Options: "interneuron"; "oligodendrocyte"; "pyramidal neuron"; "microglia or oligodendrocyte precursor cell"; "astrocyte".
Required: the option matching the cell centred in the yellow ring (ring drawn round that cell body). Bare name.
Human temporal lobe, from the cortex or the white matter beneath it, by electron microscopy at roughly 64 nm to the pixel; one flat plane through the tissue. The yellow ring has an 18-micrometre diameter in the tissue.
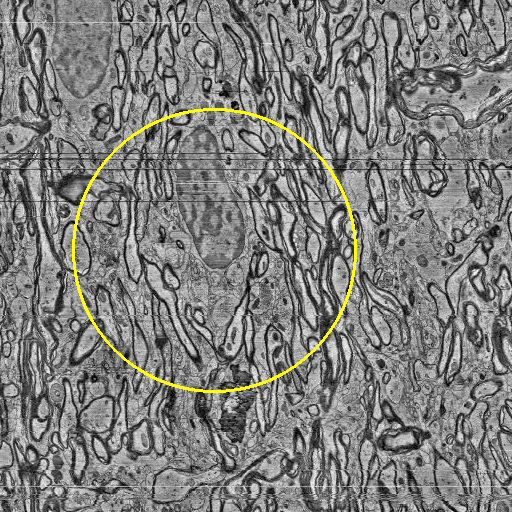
microglia or oligodendrocyte precursor cell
